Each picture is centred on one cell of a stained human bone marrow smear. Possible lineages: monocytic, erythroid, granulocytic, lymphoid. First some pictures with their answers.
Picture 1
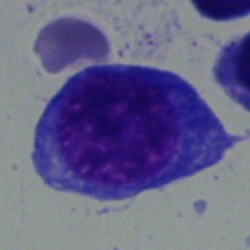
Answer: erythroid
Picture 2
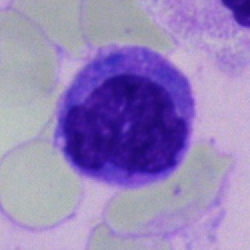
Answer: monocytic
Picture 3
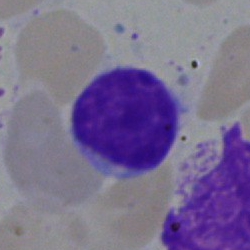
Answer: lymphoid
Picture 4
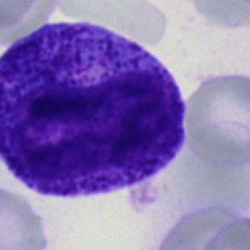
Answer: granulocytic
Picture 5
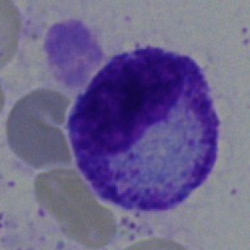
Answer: granulocytic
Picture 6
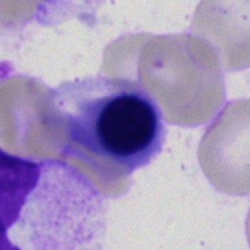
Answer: erythroid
